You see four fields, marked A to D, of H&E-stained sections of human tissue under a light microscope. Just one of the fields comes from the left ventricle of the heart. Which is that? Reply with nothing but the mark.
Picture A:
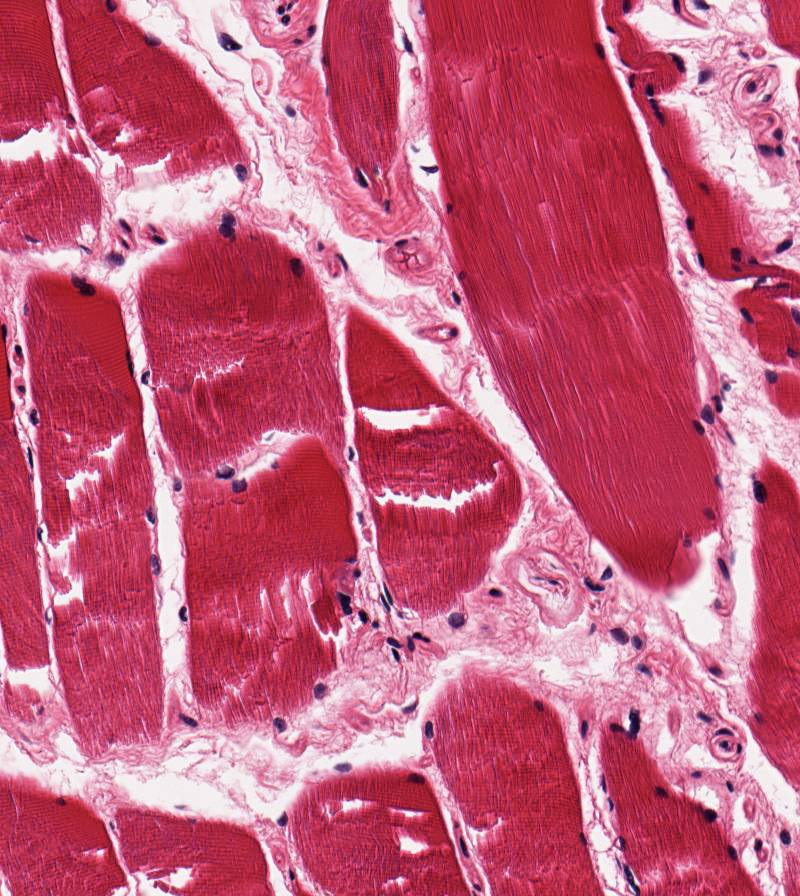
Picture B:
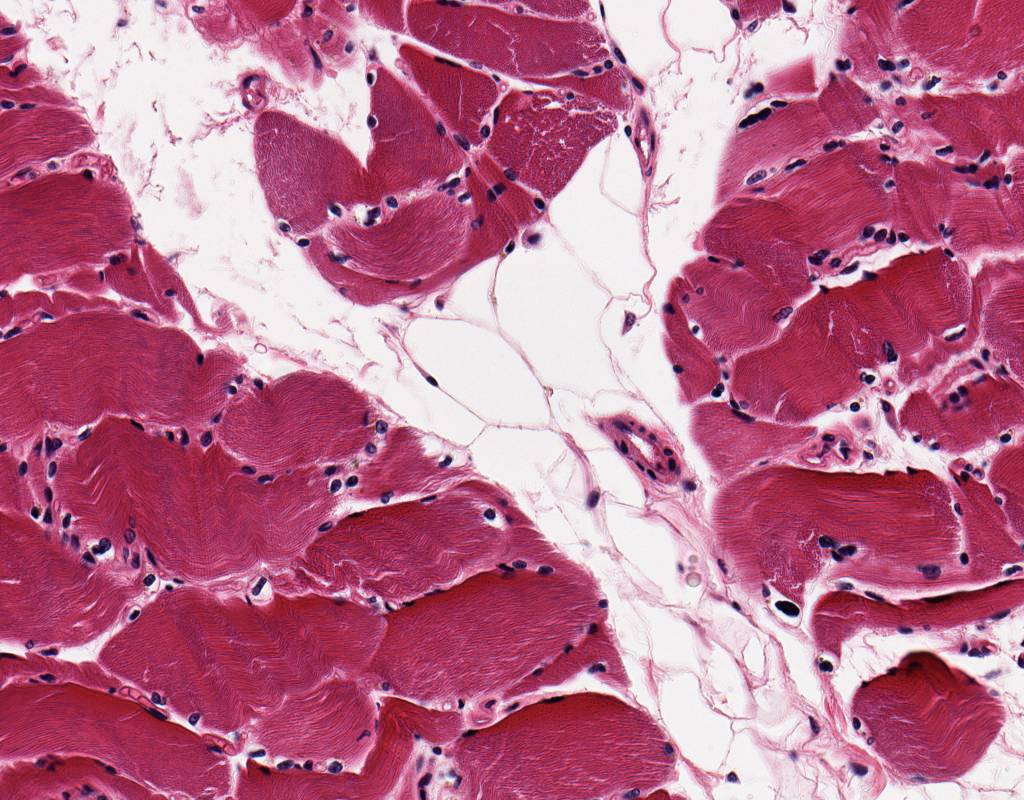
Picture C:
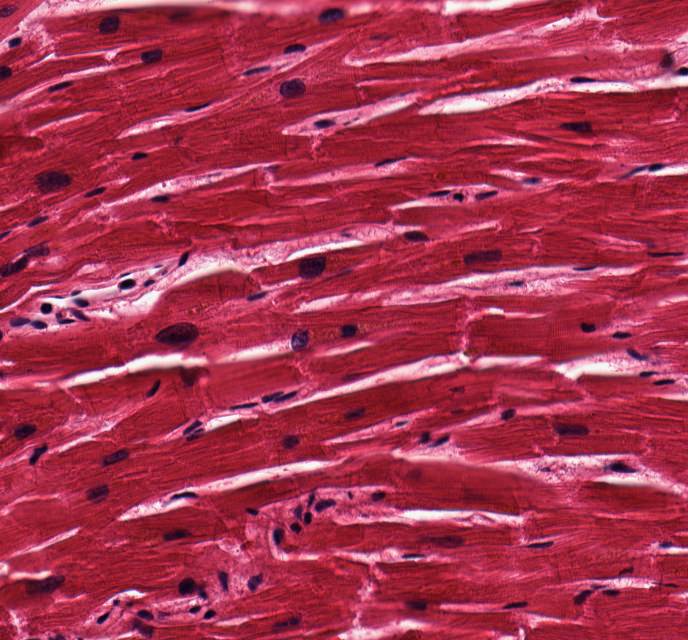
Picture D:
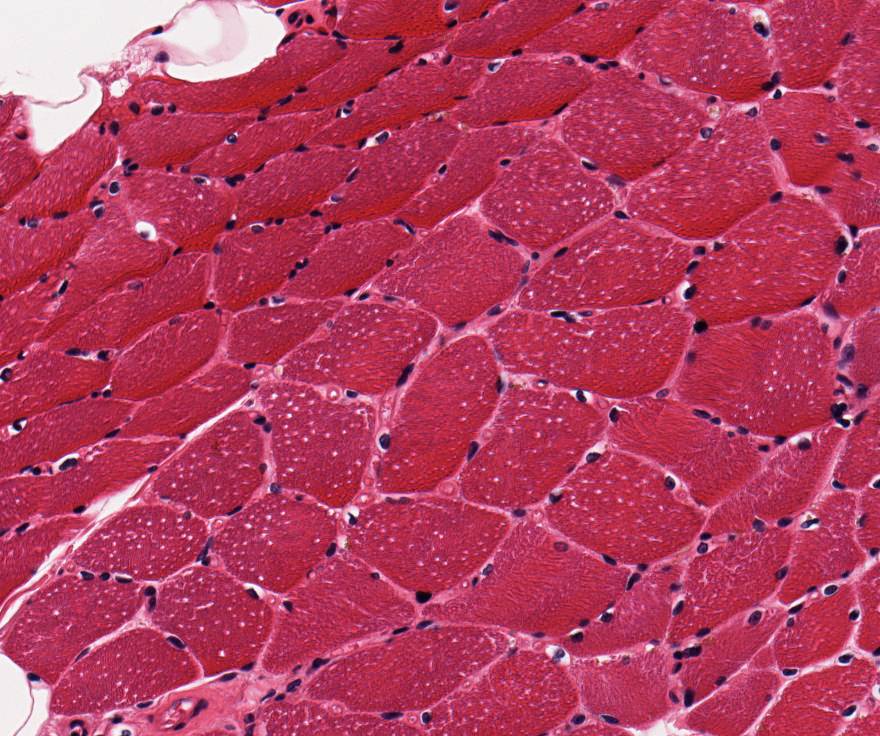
C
